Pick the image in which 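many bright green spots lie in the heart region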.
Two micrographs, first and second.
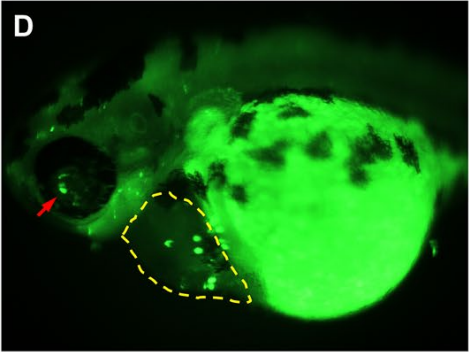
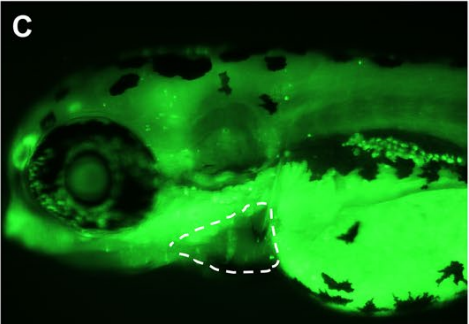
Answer: The first image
